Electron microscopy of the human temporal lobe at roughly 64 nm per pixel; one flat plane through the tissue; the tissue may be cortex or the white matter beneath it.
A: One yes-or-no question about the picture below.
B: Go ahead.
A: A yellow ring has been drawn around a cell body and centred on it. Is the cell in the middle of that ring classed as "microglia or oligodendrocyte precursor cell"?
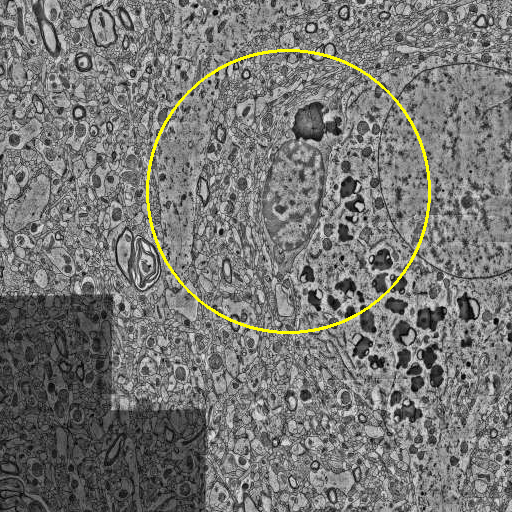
No, it is classed as another kind.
